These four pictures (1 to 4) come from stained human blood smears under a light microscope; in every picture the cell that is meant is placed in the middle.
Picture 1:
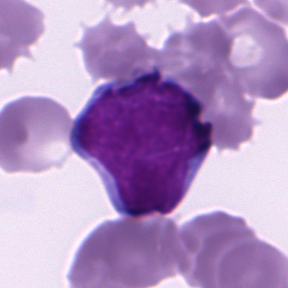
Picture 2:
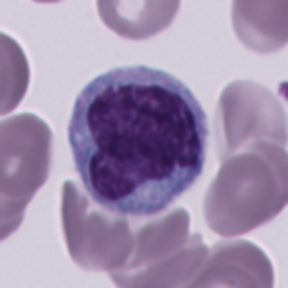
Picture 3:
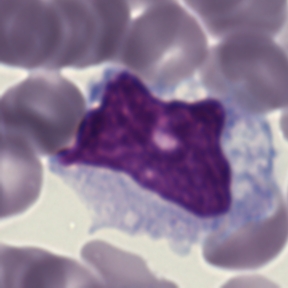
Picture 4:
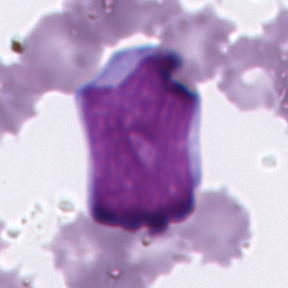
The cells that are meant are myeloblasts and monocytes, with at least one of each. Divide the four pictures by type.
1: myeloblast
2: monocyte
3: monocyte
4: myeloblast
